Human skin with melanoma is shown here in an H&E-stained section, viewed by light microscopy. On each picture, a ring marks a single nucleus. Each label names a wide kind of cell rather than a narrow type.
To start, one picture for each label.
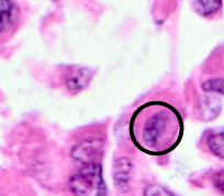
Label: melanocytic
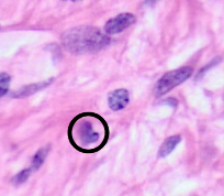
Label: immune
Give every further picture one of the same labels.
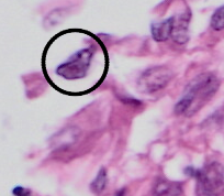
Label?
melanocytic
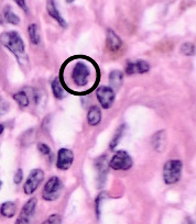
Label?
immune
